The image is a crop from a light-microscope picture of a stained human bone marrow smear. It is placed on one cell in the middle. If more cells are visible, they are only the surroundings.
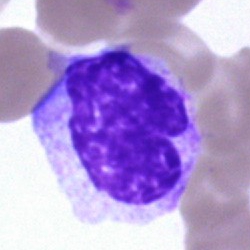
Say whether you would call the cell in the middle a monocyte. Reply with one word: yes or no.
yes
